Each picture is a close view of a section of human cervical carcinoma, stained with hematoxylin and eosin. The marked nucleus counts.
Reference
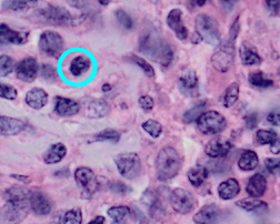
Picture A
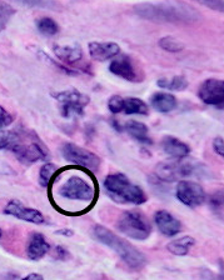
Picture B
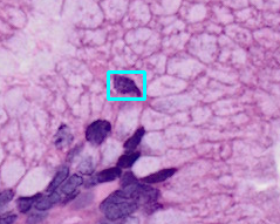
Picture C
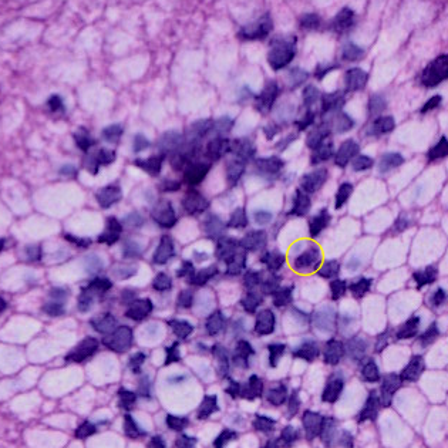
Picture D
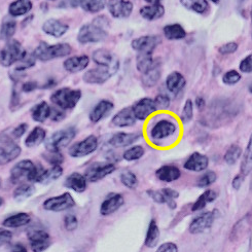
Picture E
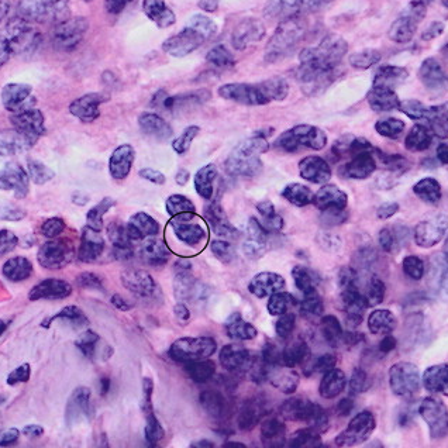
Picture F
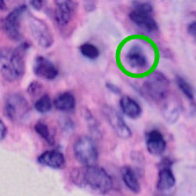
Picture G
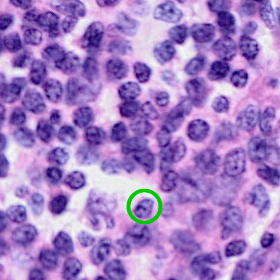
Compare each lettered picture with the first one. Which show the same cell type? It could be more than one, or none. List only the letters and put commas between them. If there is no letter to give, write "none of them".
A, D, E, F, G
